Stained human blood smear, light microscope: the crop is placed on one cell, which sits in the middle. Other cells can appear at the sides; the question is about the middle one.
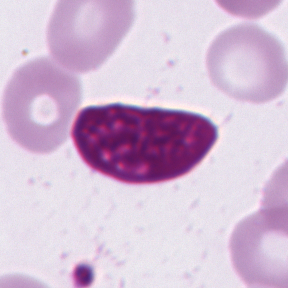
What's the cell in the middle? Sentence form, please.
In the middle of this smear crop is a smudge cell.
